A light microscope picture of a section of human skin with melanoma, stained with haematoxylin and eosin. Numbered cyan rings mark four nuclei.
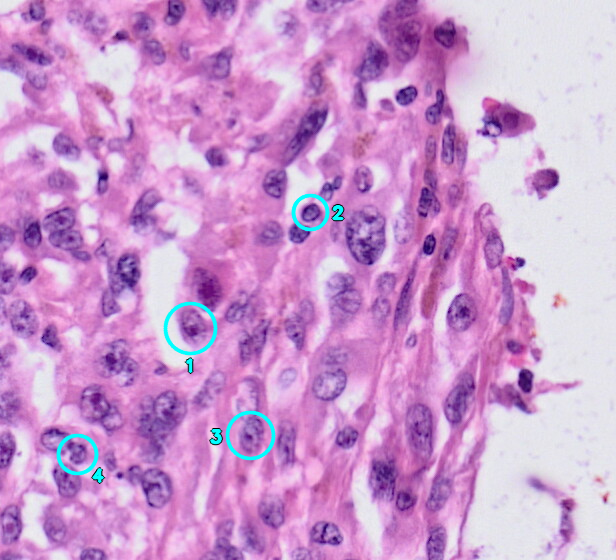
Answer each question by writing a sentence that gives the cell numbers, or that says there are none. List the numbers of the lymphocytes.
A single numbered cell, cell 2, is a lymphocyte.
